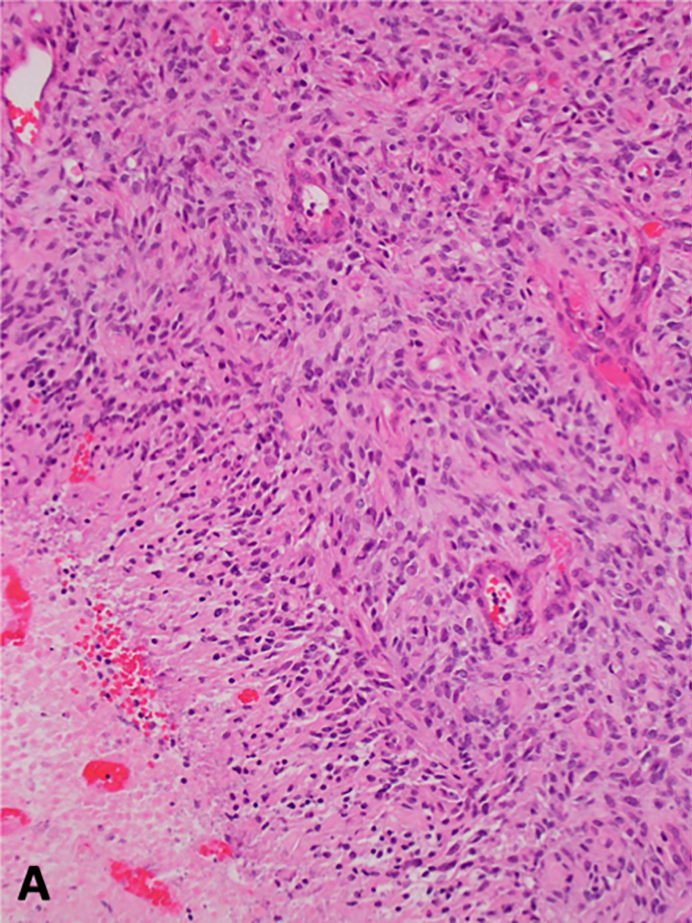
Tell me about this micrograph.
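This is a highly cellular glial tumor in which densely packed spindle-shaped and oval cells grow in a solid pattern. The nuclei are dark, elongated to oval and crowded, set in a pink fibrillary background, and the cells form vague interlacing fascicles. Scattered small vessels have thickened walls lined by plump cells. At the lower left lies a pale pink area devoid of intact nuclei, containing red blood cells, along whose edge tumor nuclei crowd. Several dilated vessels filled with red blood cells are seen near this area.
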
